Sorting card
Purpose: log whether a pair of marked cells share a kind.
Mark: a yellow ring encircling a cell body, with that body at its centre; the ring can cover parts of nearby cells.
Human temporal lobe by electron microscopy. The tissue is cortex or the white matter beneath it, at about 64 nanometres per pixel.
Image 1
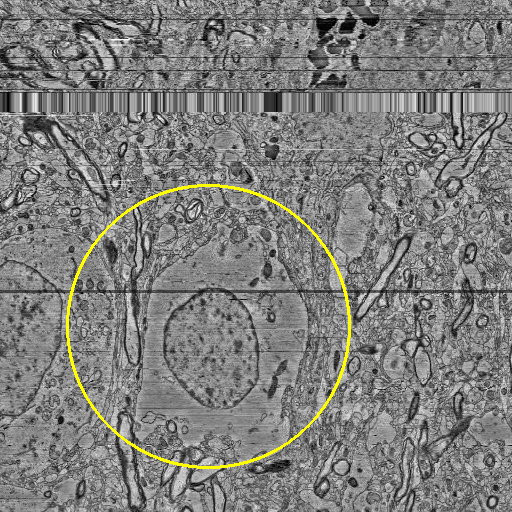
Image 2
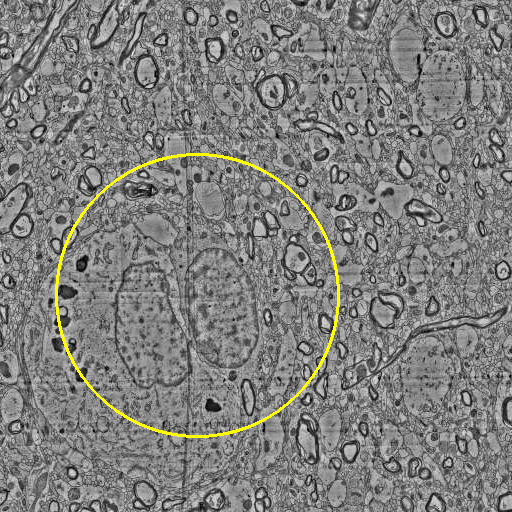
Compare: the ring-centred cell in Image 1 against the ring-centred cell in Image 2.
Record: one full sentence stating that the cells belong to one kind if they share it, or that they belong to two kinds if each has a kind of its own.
Across Images 1 and 2, the two ring-centred cells belong to two kinds.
